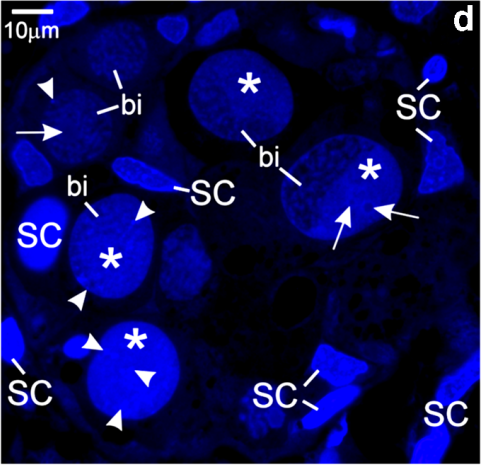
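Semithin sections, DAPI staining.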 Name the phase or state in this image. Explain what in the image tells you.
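Pachytene stage. Large round germ cell nuclei contain thread-like condensed chromatin. Small elongated bright nuclei lie between the large nuclei.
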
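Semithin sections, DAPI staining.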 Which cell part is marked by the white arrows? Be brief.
multiple nucleolus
